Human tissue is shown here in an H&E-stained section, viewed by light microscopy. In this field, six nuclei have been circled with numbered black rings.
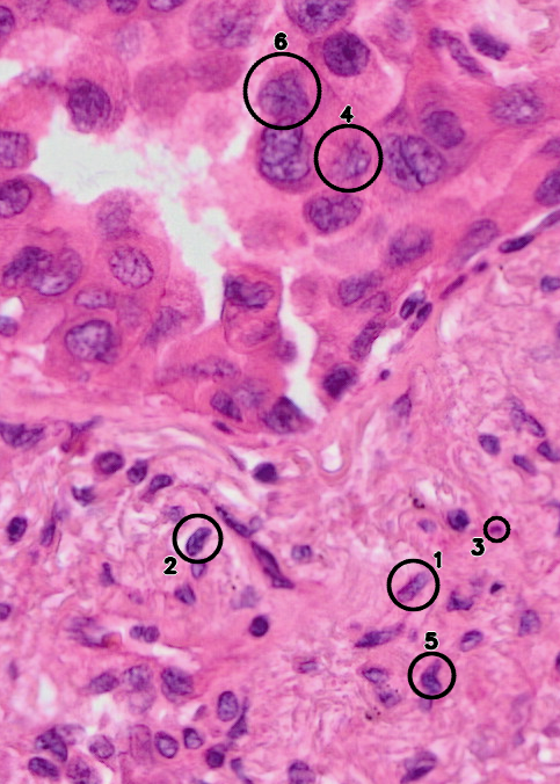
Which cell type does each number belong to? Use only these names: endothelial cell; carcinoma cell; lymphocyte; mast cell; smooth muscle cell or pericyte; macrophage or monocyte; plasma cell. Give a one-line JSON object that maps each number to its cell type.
{"1": "smooth muscle cell or pericyte", "2": "lymphocyte", "3": "smooth muscle cell or pericyte", "4": "carcinoma cell", "5": "smooth muscle cell or pericyte", "6": "carcinoma cell"}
